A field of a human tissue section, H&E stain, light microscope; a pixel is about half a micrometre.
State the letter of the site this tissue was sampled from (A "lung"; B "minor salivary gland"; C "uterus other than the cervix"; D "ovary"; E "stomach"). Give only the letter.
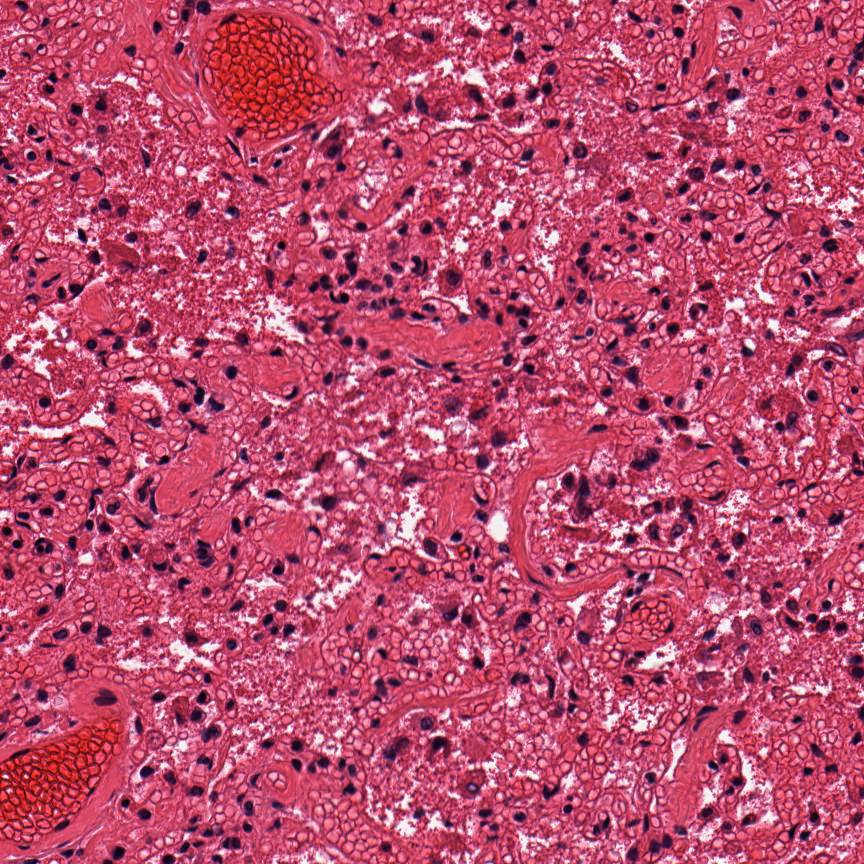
A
